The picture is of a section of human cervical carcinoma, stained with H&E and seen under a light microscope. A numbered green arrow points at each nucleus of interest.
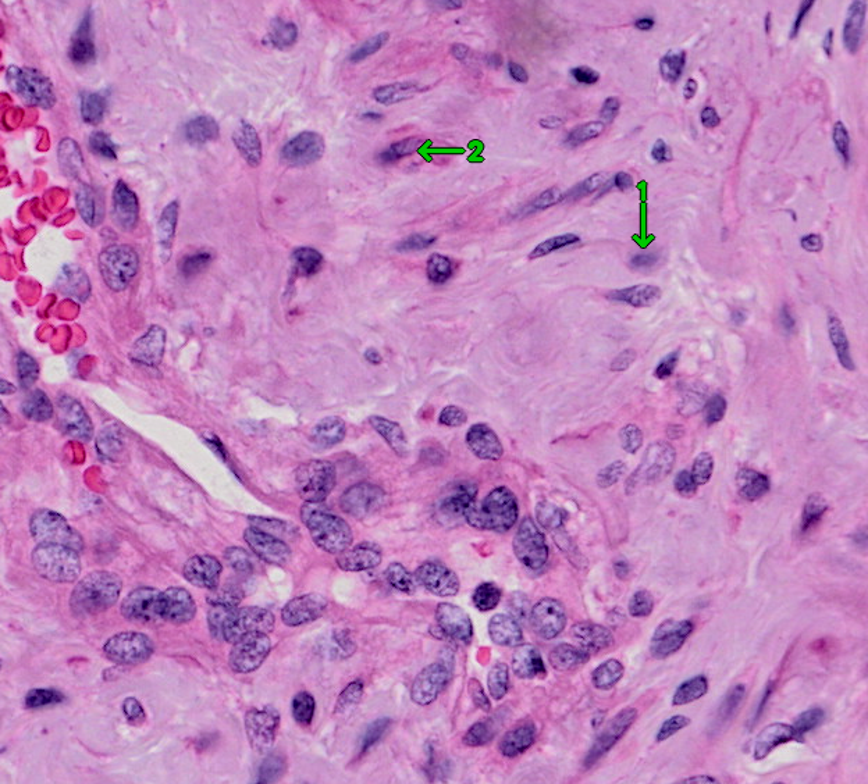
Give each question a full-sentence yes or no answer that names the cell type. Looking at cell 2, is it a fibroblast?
No, cell 2 has been misnamed; it is a smooth muscle cell, not a fibroblast.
